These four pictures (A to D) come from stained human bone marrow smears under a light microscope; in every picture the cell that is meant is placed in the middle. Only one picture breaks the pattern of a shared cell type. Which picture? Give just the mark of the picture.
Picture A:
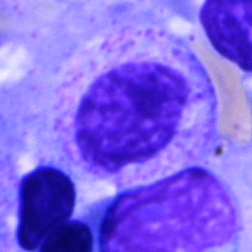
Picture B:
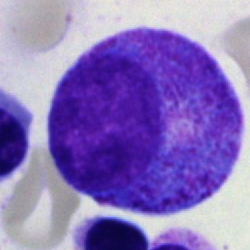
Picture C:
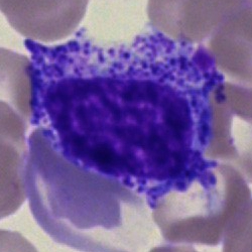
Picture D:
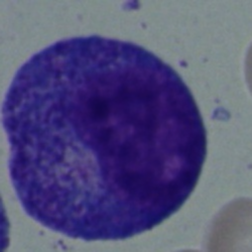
A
